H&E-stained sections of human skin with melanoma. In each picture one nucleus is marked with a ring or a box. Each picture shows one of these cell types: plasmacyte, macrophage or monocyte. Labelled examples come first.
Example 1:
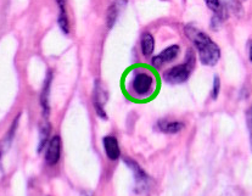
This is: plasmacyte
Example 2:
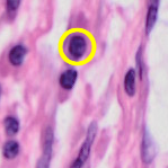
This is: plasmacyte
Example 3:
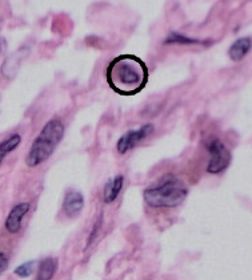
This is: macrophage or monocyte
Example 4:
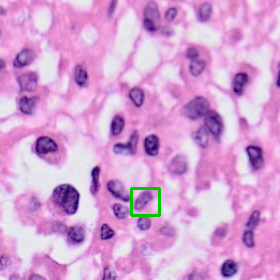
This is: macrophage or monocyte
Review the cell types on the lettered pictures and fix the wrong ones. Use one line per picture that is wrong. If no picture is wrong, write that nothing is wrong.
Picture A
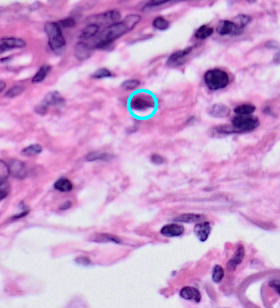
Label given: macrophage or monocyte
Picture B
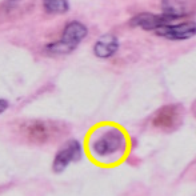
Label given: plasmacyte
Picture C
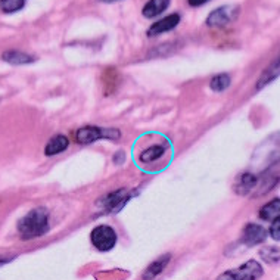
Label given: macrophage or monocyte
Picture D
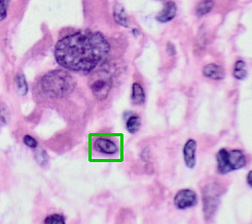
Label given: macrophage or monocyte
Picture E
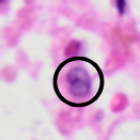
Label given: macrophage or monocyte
A: change macrophage or monocyte to plasmacyte
B: change plasmacyte to macrophage or monocyte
